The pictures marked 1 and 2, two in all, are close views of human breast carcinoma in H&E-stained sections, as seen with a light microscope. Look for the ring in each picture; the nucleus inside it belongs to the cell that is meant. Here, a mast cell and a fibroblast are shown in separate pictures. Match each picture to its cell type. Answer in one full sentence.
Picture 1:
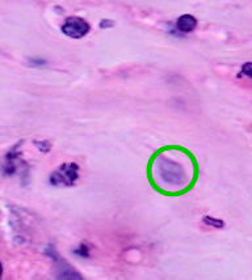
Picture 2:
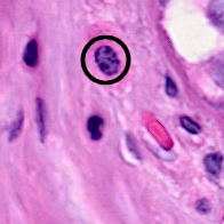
In picture 1 the cell is a fibroblast; in picture 2, a mast cell.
